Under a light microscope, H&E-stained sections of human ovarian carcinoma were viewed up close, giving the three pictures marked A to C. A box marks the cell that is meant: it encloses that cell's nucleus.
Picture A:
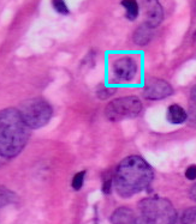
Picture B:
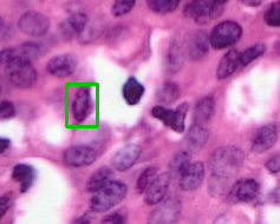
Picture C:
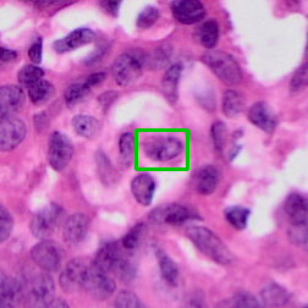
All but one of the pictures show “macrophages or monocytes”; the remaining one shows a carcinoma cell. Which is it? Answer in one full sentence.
It is picture B that shows the carcinoma cell.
